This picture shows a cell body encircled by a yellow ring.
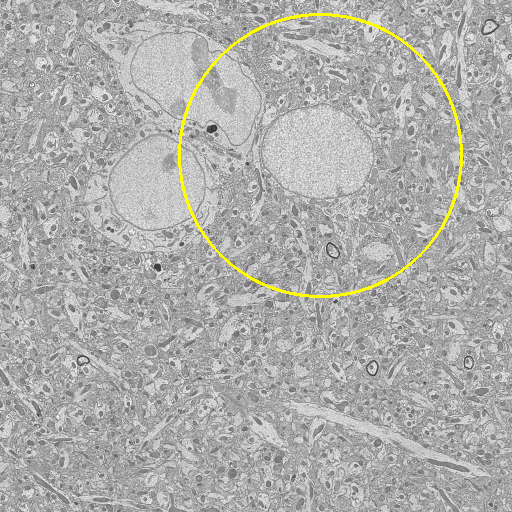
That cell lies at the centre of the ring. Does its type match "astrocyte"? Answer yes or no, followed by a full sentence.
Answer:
Yes, in the picture, the ring surrounds a cell of that type at its centre.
